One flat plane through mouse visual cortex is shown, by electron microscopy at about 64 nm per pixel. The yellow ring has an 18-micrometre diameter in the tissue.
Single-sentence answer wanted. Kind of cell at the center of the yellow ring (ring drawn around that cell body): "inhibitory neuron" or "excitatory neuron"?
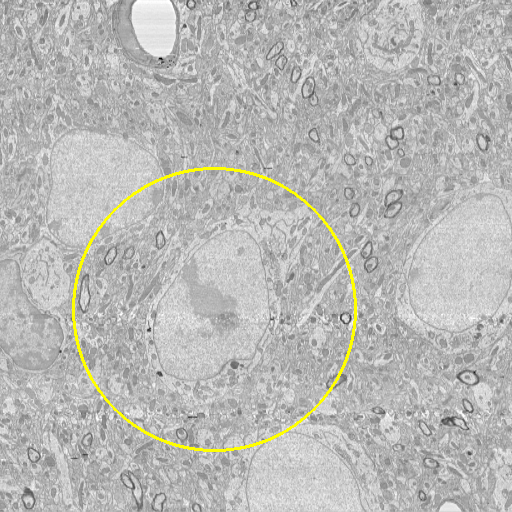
The cell centered in the ring is an inhibitory neuron.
